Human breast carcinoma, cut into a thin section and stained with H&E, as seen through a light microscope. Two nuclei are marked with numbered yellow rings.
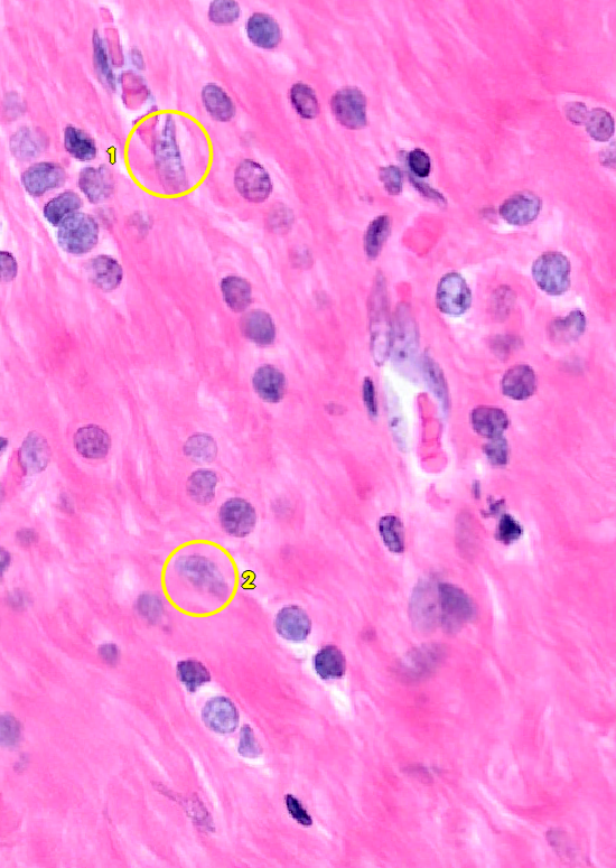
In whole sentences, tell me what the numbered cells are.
Cell 1 is an endothelial cell. Cell 2 is a fibroblast.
